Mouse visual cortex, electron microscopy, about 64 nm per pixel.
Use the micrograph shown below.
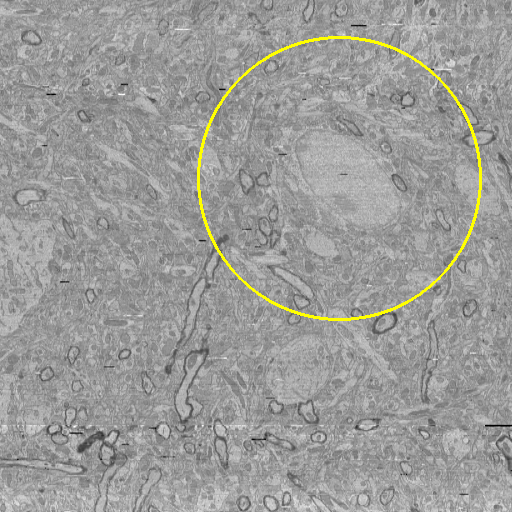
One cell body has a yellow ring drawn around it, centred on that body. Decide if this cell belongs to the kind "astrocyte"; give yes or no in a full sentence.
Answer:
Yes, the cell lying at the ring's centre in the micrograph is of the kind given.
